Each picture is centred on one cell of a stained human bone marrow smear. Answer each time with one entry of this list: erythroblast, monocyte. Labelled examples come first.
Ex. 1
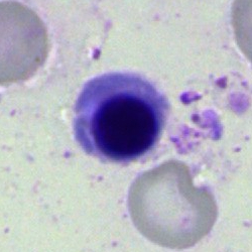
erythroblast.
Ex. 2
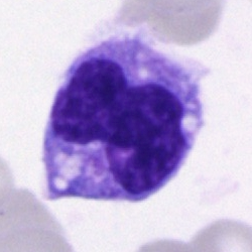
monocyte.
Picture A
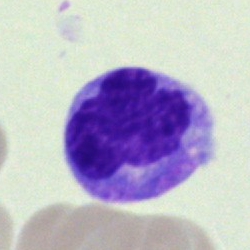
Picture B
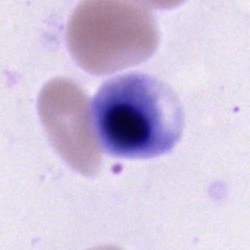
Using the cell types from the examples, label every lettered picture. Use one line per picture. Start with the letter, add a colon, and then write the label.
A: monocyte.
B: erythroblast.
